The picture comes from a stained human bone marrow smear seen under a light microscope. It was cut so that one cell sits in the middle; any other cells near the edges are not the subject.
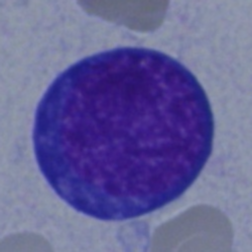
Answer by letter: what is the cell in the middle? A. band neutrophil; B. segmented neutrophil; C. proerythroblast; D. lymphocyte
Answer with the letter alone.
C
